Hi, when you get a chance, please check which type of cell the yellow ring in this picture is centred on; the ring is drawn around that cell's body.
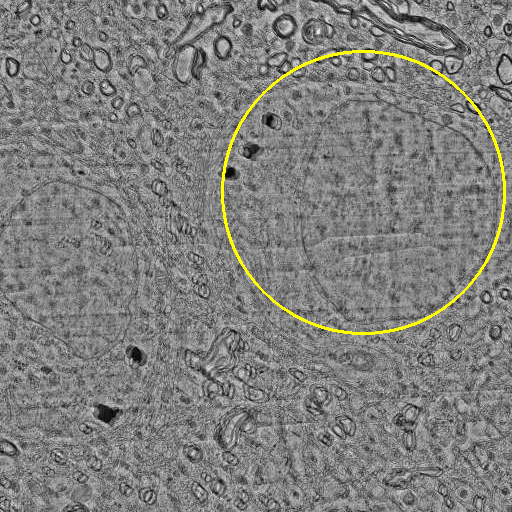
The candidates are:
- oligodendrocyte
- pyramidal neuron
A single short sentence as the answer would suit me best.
The ring is drawn around the body of a pyramidal neuron.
